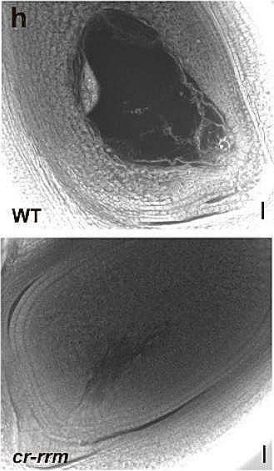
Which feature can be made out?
Embryo sac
